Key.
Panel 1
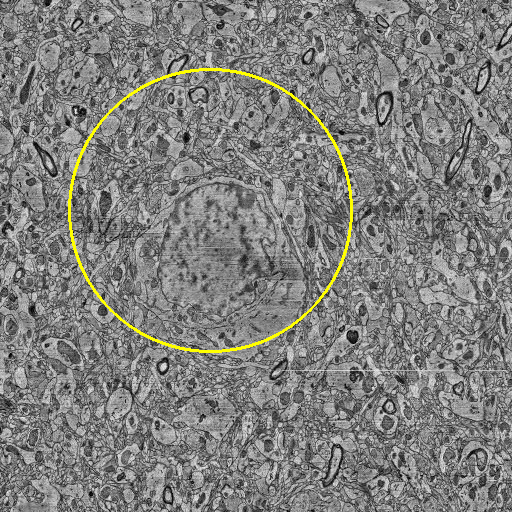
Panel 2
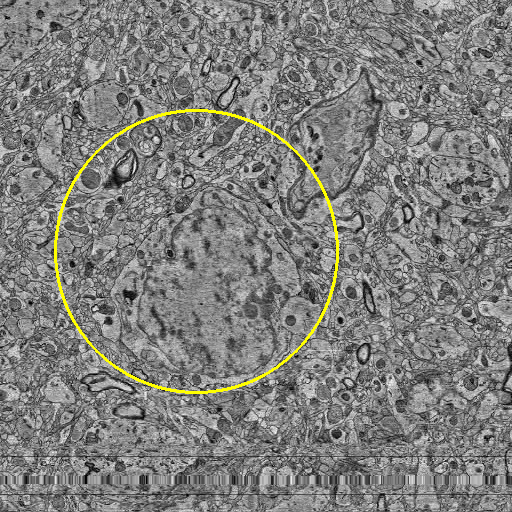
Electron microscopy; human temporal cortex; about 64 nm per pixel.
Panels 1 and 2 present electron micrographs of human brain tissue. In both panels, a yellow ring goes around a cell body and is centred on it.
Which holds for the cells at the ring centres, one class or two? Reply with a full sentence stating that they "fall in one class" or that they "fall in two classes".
Taken together, the ring-centre cells of the two panels fall in one class.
